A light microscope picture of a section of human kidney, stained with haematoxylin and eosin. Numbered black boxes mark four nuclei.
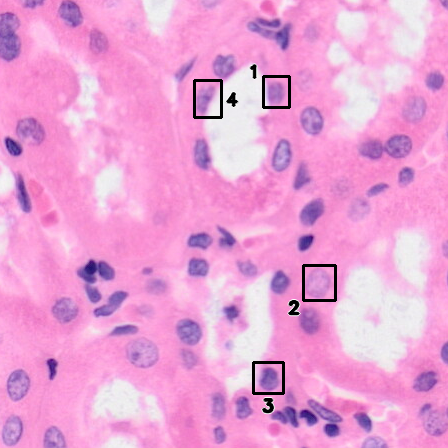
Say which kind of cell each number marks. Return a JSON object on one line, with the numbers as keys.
{"1": "loop of Henle or distal tubule cell", "2": "proximal tubule cell", "3": "loop of Henle or distal tubule cell", "4": "loop of Henle or distal tubule cell"}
